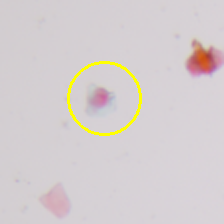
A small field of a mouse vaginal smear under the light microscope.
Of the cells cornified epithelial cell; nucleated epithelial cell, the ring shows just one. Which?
The ring shows a nucleated epithelial cell.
